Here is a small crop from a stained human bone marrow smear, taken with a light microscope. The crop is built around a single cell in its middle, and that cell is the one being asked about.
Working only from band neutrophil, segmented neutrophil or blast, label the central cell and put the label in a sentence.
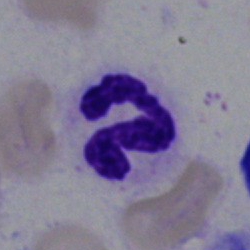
The cell in the middle of this crop is a segmented neutrophil.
